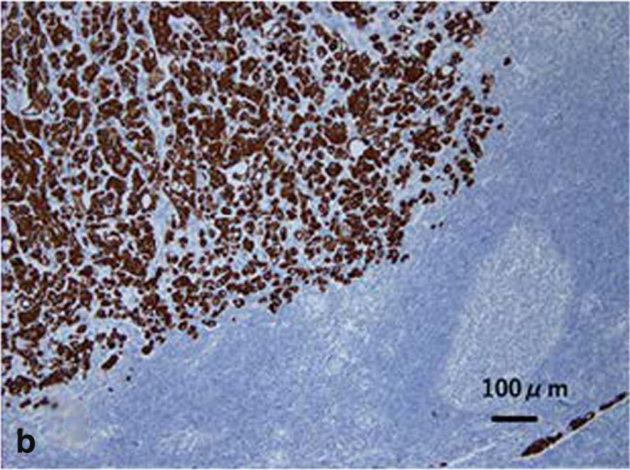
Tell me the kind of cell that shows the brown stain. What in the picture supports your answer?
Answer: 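Cancer cells. Brown-stained cells form crowded nests and cords in the upper left. The brown cells are large and sharply set off from the blue-stained small lymphoid cells below. The surrounding lymphoid tissue with a pale follicle is unstained.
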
